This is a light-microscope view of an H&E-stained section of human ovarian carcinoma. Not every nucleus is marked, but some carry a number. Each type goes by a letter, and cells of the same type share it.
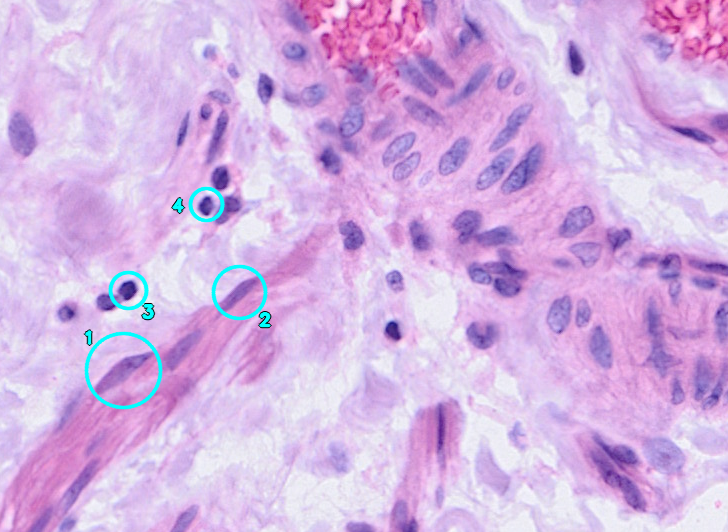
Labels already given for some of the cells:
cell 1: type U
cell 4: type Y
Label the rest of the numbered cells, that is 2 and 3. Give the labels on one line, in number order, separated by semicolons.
type U; type Y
